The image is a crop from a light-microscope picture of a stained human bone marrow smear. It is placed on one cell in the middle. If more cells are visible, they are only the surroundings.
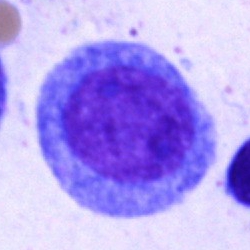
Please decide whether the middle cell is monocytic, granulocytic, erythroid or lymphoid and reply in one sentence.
In terms of lineage, the cell in the middle is granulocytic.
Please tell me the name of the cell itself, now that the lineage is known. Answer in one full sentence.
The cell occupying the middle of the crop is a promyelocyte.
